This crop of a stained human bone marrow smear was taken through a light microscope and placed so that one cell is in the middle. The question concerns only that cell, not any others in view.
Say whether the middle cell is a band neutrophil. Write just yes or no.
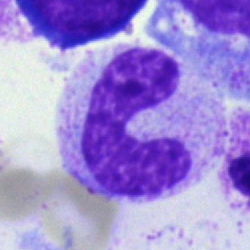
yes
